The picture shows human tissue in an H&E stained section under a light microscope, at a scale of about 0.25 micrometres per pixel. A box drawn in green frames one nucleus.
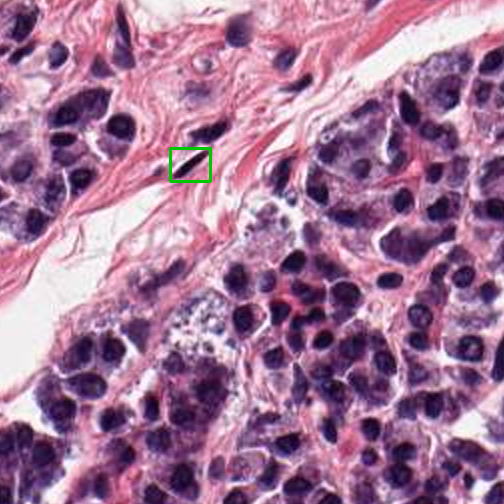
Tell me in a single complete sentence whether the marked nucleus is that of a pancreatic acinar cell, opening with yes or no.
No, it is not a pancreatic acinar cell that owns the marked nucleus but a supporting cell.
